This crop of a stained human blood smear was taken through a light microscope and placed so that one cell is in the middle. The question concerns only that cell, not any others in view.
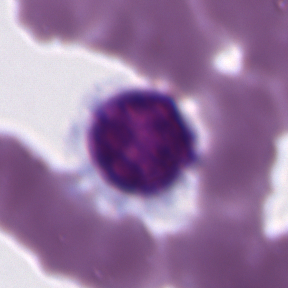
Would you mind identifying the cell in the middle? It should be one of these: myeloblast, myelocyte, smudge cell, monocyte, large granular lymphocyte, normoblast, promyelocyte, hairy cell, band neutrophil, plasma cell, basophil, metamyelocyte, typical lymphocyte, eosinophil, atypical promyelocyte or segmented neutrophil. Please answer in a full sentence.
The central cell shown in this smear crop is a hairy cell.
